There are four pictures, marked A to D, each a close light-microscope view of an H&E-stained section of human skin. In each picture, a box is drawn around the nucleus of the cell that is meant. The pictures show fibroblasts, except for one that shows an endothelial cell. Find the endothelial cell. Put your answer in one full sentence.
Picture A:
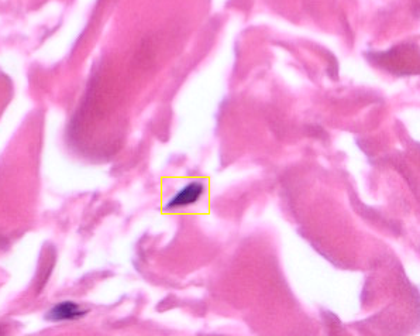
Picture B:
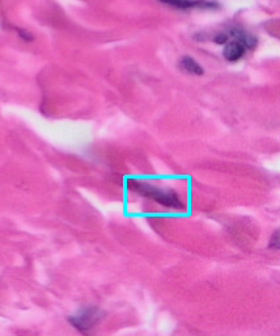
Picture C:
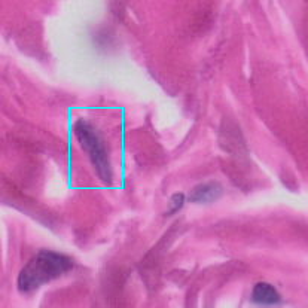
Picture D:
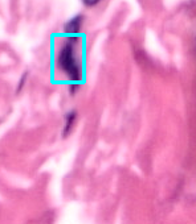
The endothelial cell is the one in picture D.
